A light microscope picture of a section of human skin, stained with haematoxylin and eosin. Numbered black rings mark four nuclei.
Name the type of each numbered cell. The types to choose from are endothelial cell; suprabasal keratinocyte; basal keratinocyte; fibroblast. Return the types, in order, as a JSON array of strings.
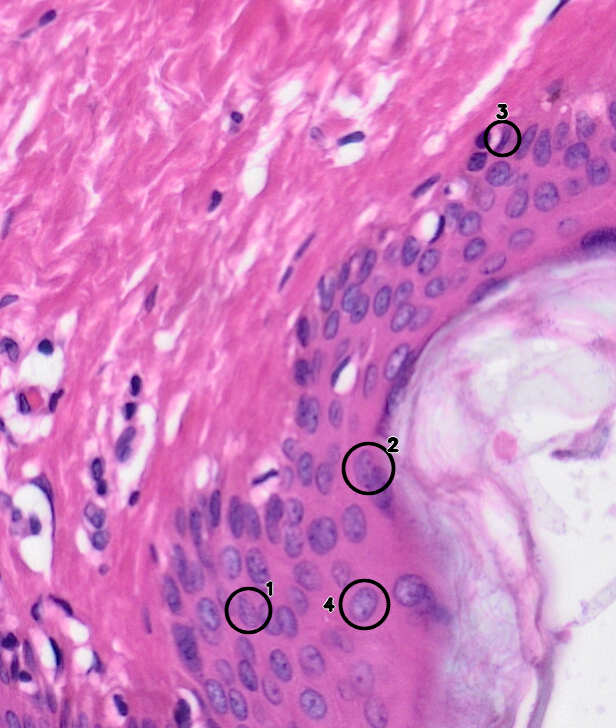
["suprabasal keratinocyte", "suprabasal keratinocyte", "basal keratinocyte", "suprabasal keratinocyte"]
